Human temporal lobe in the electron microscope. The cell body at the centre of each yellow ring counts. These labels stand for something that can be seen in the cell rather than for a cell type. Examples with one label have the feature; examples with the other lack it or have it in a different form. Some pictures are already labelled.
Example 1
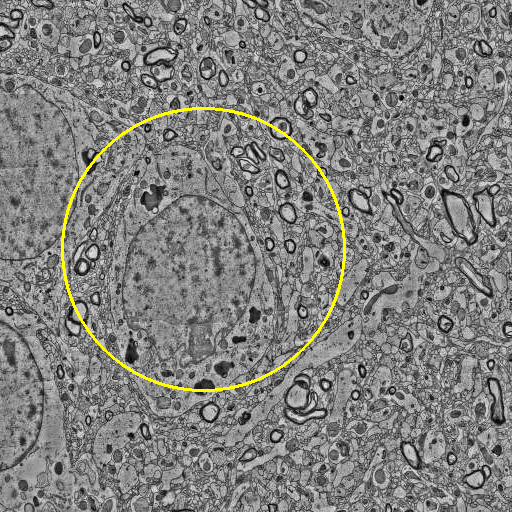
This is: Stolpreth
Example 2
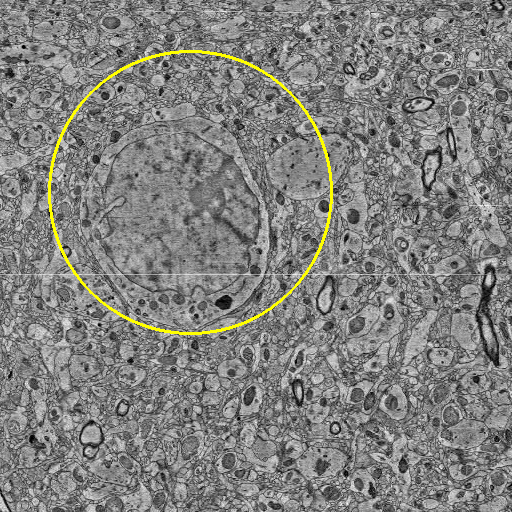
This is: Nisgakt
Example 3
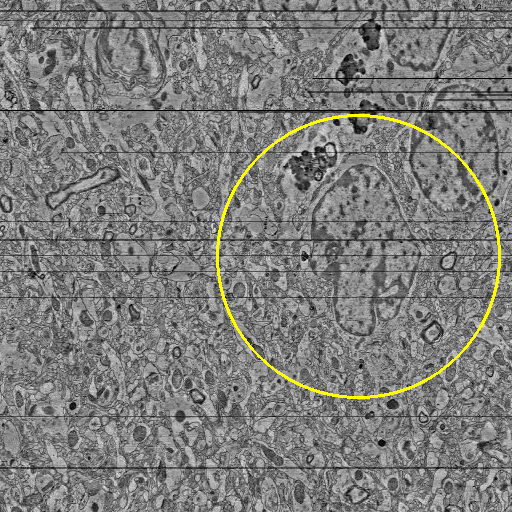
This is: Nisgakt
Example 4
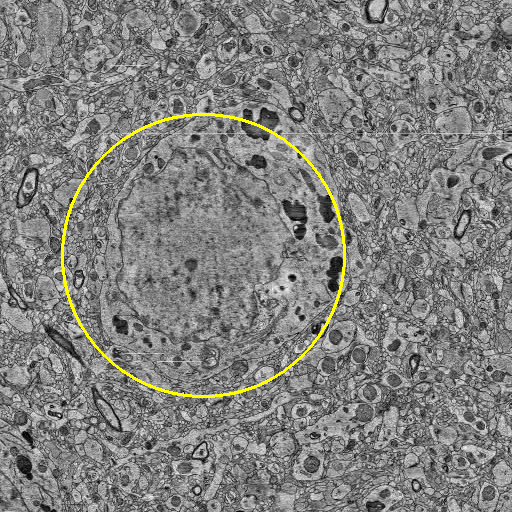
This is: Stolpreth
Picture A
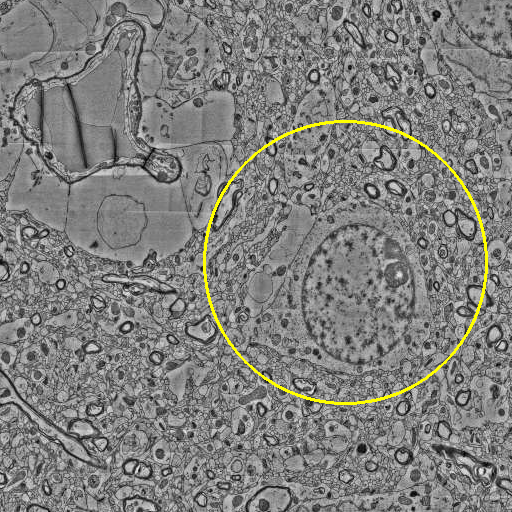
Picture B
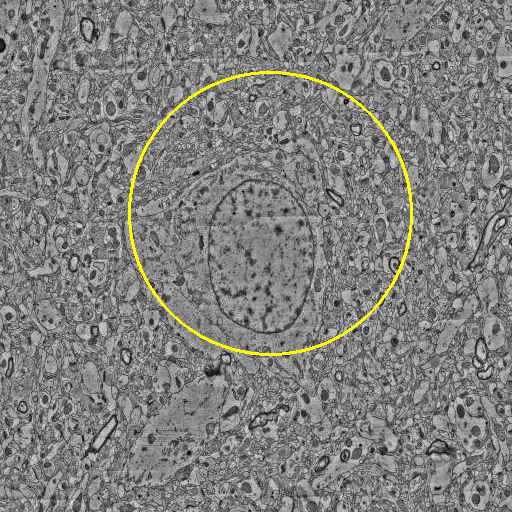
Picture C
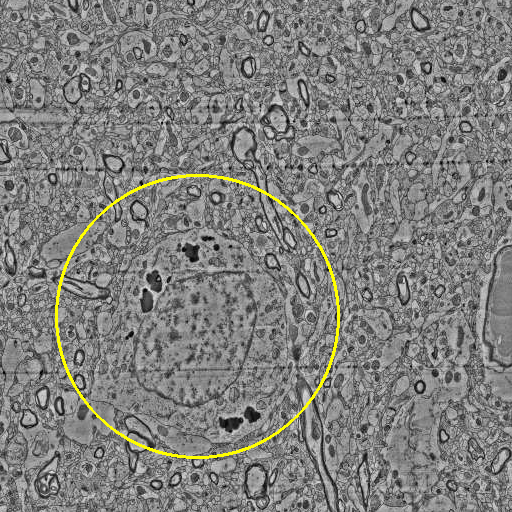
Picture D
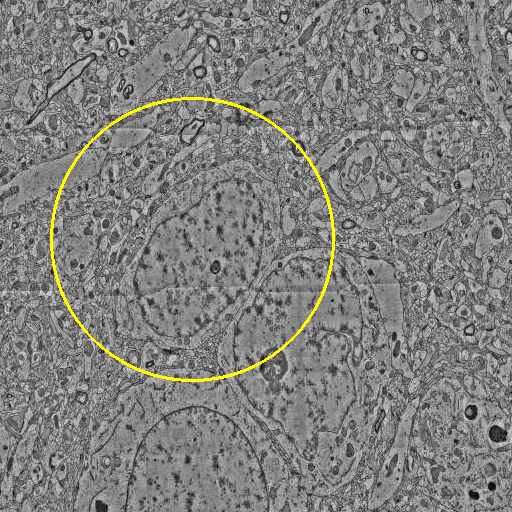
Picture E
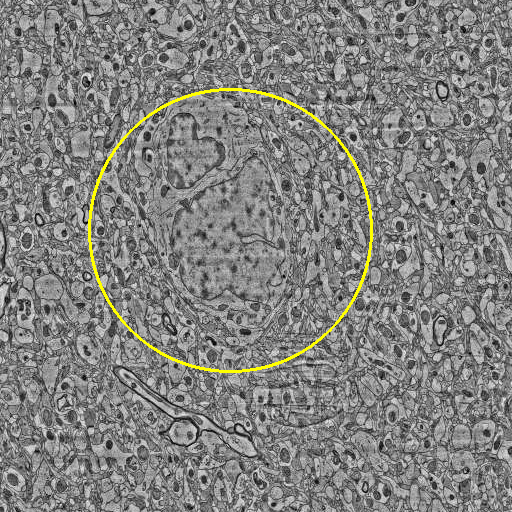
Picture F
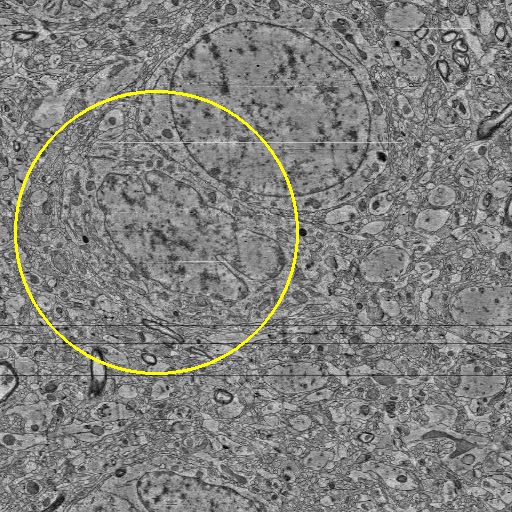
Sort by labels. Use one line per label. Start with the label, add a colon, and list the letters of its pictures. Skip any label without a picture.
Stolpreth: A, B, C, D
Nisgakt: E, F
